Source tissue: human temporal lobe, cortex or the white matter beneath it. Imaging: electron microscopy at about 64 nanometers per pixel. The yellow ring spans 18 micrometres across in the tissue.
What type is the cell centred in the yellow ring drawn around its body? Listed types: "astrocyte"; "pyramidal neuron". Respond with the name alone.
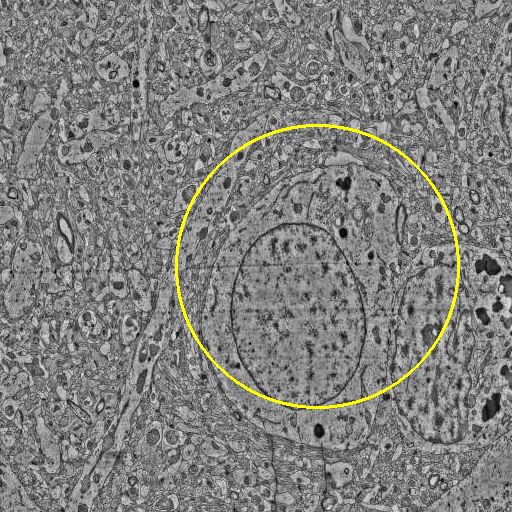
pyramidal neuron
